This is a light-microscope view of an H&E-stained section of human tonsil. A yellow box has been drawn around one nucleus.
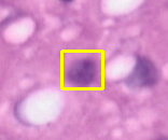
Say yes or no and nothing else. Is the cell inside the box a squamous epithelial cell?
yes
